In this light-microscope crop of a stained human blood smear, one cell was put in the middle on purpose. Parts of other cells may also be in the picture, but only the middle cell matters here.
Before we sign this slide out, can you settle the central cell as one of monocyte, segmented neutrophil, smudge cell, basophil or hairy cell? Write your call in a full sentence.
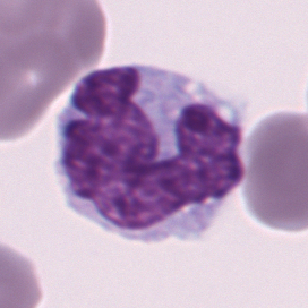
The middle of this crop is occupied by a monocyte.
